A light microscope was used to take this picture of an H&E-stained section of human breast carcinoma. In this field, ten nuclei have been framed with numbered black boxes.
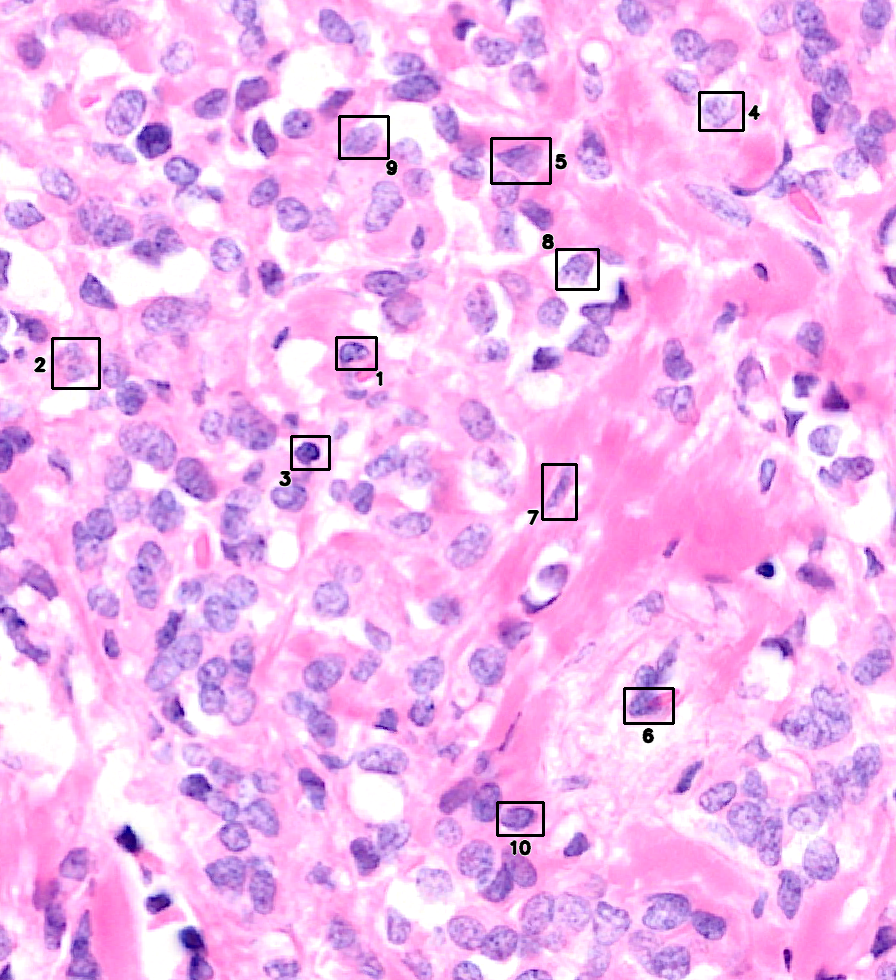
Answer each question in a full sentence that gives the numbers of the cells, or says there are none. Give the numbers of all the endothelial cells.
On this slide, the cells numbered 1 and 6 are endothelial cells.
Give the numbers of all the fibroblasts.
Within the set of numbered cells, only number 7 is a fibroblast.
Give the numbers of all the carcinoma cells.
Cells 2, 4, 5, 8, 9 and 10 in the section are typed as carcinoma cells.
